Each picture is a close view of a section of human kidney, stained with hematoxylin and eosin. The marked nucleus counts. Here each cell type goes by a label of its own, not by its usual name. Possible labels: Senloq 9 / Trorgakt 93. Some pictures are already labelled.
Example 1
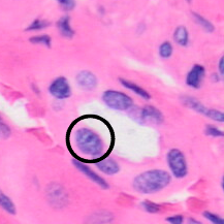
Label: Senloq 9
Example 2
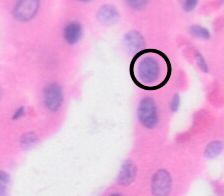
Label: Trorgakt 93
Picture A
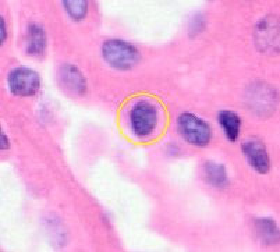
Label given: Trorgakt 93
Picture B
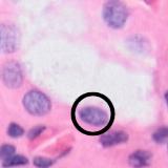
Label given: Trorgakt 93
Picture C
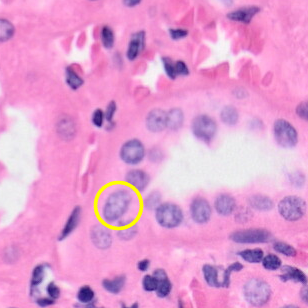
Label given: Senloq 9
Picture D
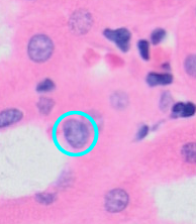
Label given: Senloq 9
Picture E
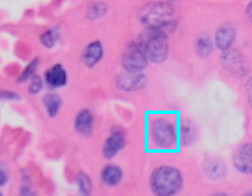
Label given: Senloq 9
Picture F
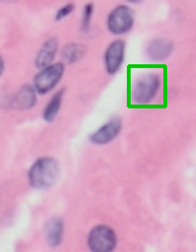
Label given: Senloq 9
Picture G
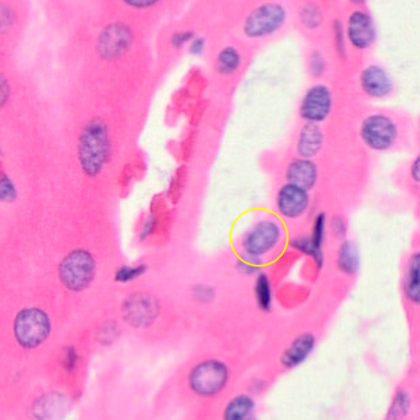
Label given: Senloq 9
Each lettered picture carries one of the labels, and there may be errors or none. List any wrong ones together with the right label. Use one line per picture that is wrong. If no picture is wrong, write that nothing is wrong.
D should be Trorgakt 93, not Senloq 9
